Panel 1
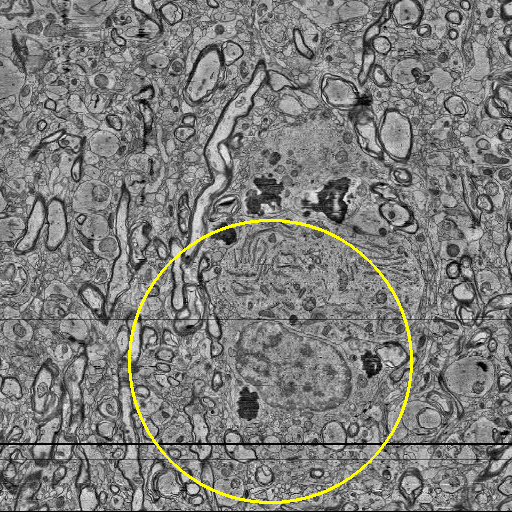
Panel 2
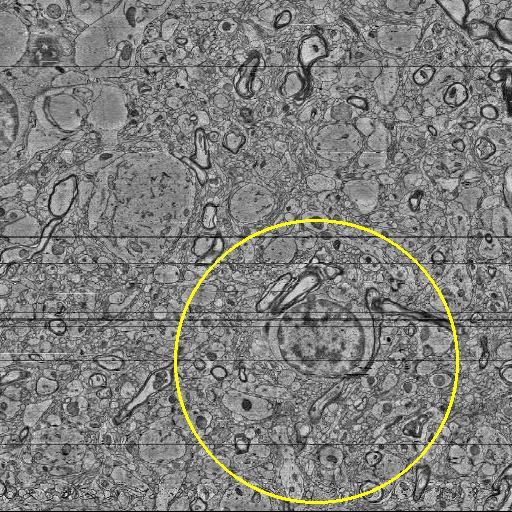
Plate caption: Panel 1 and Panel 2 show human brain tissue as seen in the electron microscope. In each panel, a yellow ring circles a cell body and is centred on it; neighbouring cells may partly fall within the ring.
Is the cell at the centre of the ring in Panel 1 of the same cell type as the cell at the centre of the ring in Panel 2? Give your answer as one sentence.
Yes, the two cells are of the same type.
